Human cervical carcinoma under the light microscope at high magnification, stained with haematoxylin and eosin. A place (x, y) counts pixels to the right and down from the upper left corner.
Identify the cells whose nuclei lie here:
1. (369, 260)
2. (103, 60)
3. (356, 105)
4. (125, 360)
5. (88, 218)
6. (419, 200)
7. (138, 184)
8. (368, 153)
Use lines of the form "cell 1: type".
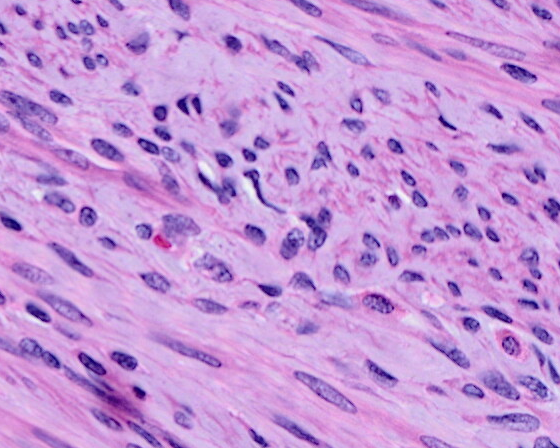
cell 1: smooth muscle cell
cell 2: smooth muscle cell
cell 3: smooth muscle cell
cell 4: lymphocyte
cell 5: lymphocyte
cell 6: smooth muscle cell
cell 7: endothelial cell
cell 8: smooth muscle cell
